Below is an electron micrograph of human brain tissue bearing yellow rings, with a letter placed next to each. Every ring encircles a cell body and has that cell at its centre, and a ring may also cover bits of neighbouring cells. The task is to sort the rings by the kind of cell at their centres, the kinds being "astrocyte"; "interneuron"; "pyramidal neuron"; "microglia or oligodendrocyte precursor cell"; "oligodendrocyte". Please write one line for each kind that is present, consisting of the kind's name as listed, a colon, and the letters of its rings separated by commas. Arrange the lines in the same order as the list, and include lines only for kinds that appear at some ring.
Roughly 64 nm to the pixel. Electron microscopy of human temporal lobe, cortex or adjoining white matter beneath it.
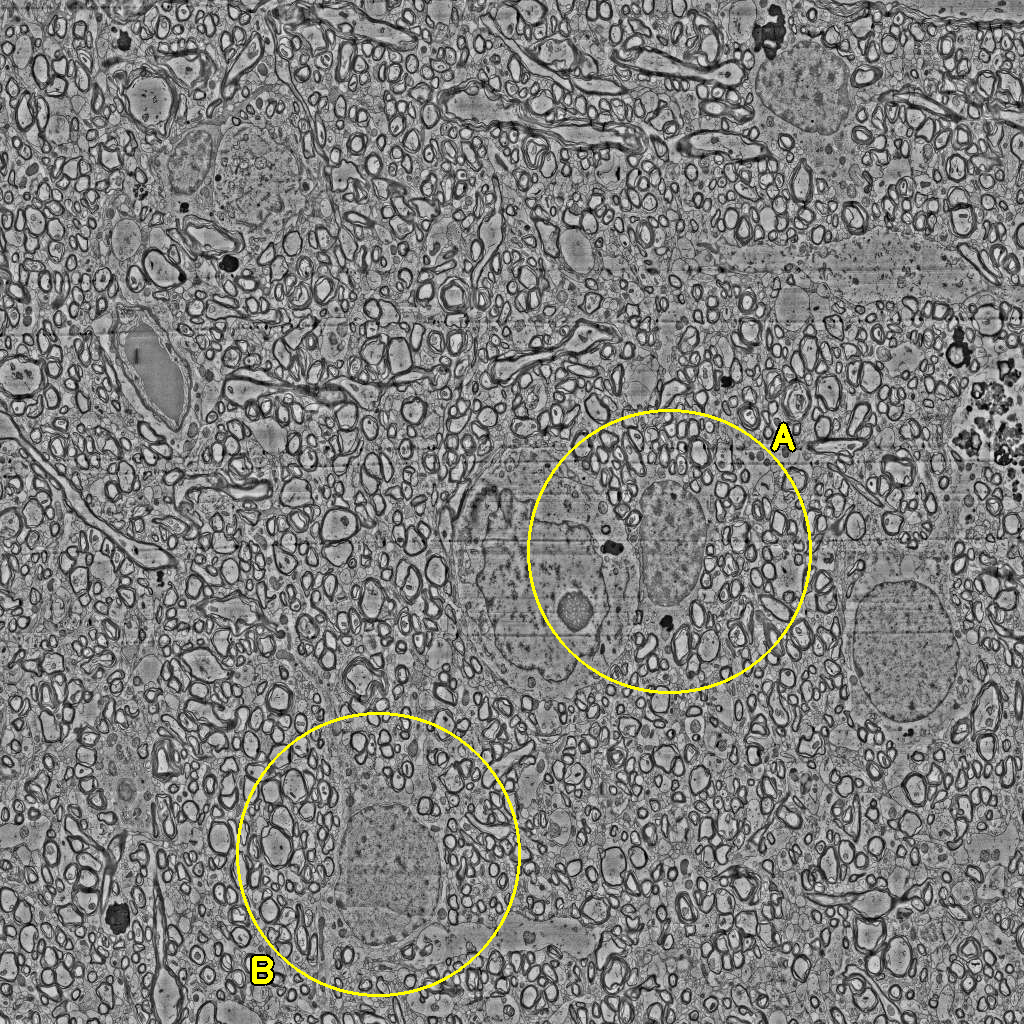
astrocyte: B
oligodendrocyte: A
